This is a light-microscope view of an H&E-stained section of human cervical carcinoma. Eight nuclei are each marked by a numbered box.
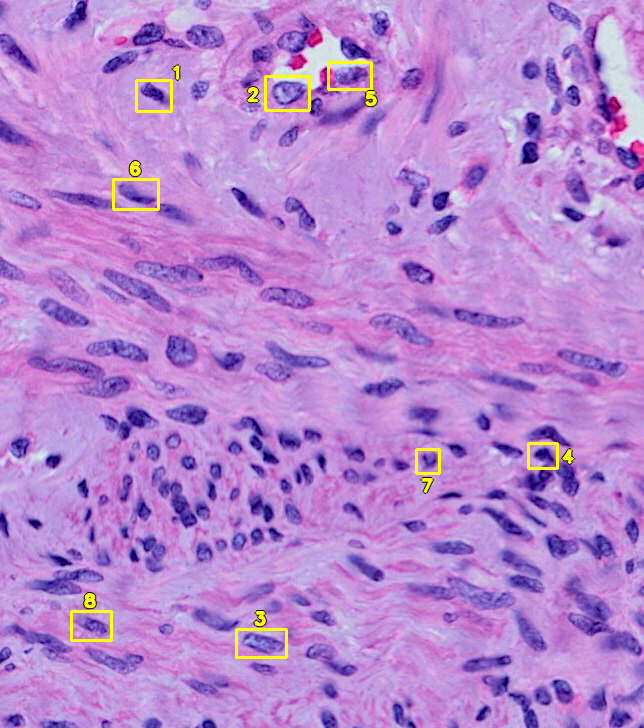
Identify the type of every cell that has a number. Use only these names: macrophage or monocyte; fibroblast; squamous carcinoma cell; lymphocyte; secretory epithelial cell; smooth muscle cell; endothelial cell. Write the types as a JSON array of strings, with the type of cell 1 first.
["fibroblast", "endothelial cell", "smooth muscle cell", "fibroblast", "endothelial cell", "fibroblast", "smooth muscle cell", "smooth muscle cell"]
